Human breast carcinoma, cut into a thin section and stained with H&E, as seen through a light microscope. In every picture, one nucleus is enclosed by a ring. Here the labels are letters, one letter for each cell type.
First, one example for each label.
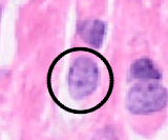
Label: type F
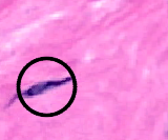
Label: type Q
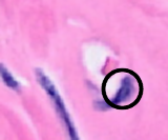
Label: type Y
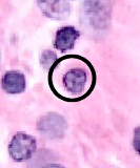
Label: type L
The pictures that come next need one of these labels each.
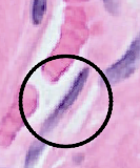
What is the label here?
type Y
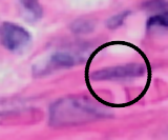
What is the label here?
type Y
